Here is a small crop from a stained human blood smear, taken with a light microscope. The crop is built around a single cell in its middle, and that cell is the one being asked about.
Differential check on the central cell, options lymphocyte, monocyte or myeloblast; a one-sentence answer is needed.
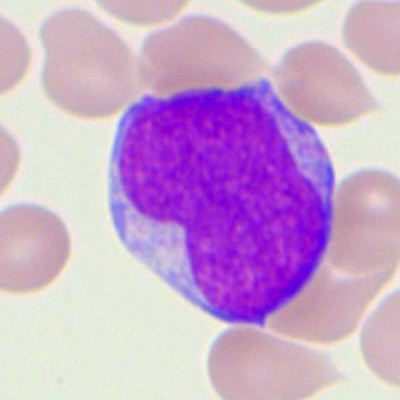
Here the cell in the middle is a myeloblast.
